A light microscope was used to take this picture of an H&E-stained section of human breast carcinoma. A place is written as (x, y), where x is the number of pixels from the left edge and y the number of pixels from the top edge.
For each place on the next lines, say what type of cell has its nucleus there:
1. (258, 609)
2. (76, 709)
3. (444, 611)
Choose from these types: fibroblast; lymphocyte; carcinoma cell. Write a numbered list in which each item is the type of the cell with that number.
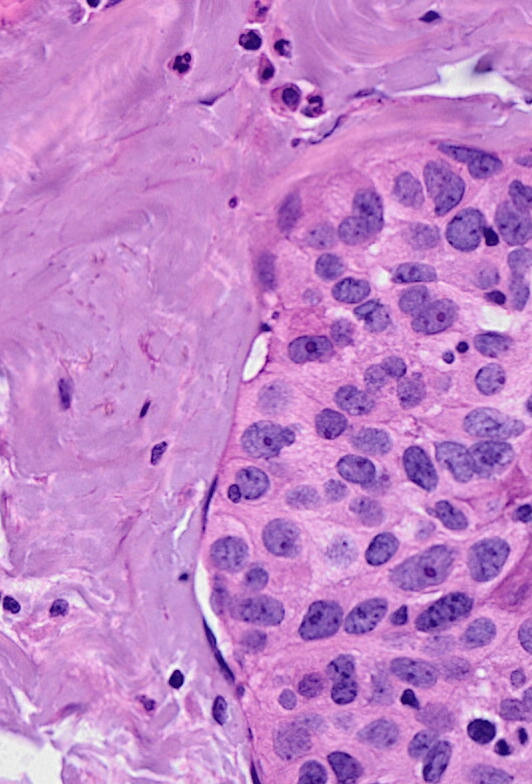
1. carcinoma cell
2. fibroblast
3. carcinoma cell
